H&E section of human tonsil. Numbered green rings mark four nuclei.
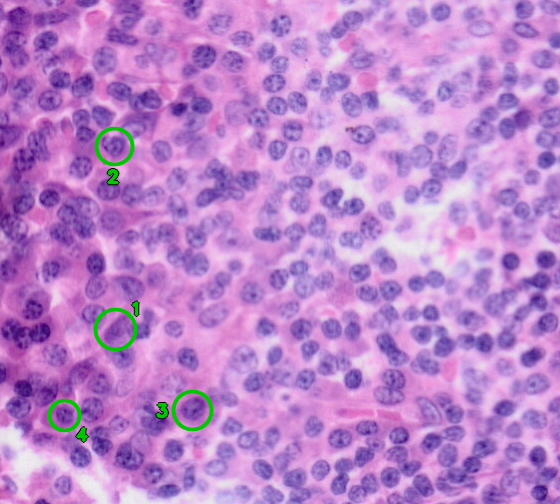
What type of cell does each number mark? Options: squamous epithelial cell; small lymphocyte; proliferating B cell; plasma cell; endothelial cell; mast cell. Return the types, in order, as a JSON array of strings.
["squamous epithelial cell", "plasma cell", "plasma cell", "plasma cell"]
